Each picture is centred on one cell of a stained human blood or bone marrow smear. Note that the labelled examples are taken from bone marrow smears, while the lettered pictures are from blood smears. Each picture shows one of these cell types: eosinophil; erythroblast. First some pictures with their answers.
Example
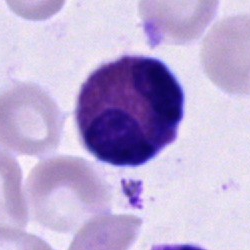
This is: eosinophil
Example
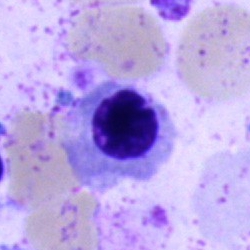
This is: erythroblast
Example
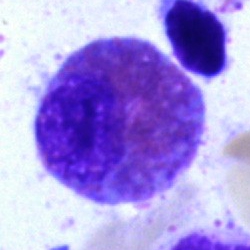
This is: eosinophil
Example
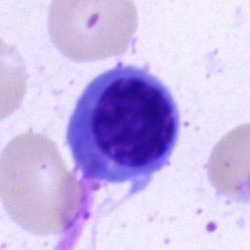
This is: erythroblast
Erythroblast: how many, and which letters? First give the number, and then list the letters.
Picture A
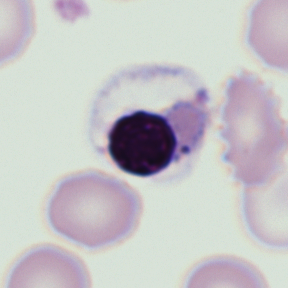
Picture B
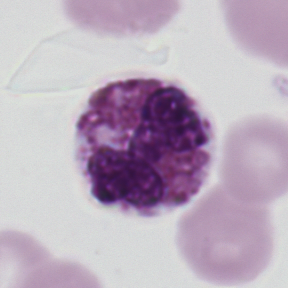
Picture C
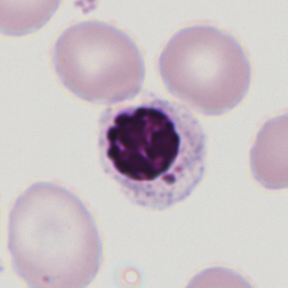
Count: 2 (A, C)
